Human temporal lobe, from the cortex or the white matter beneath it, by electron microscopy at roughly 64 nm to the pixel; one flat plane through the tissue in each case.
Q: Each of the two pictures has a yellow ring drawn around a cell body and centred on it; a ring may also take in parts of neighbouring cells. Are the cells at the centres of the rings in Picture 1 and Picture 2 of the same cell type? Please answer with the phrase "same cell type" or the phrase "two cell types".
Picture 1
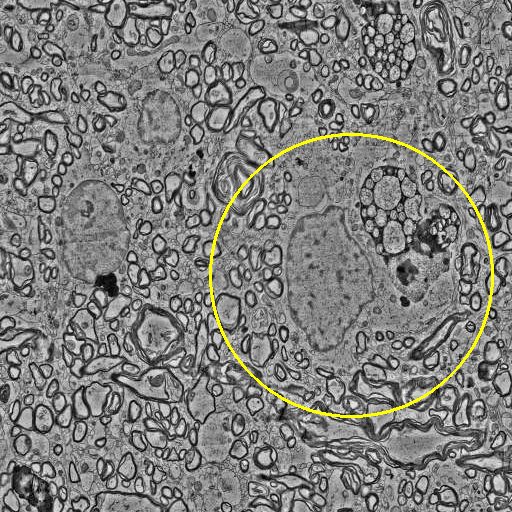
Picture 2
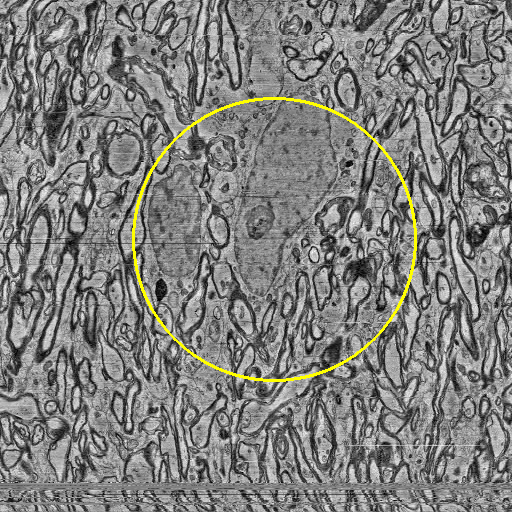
same cell type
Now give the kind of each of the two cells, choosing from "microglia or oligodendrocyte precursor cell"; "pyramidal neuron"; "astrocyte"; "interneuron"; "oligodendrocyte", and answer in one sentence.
Each of the two rings is centred on an astrocyte.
